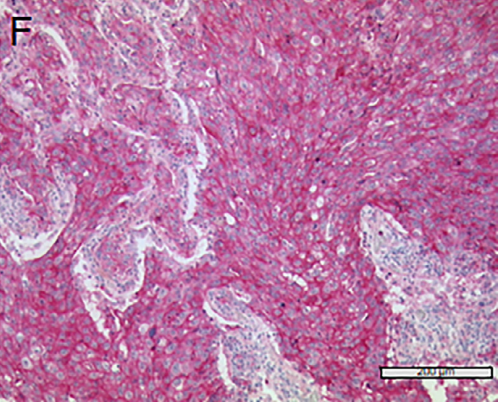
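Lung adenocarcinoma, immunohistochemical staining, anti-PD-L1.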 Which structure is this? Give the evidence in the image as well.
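Tumour cells form broad continuous sheets. No glands or papillae are formed.
Answer: solid growth pattern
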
